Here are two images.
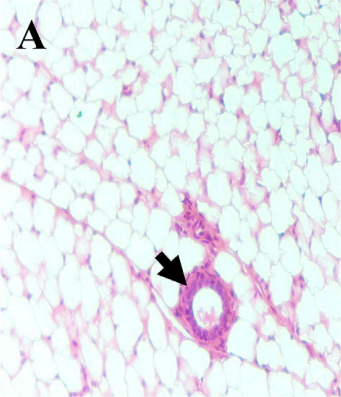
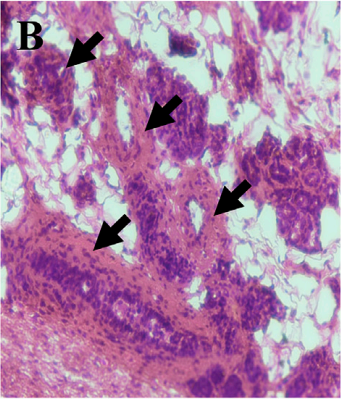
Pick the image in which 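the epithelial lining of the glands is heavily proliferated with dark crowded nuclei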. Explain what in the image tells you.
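Second image: numerous dense purple epithelial masses and thick multilayered ducts fill much of the field. First image: a single small duct with a thin lining sits among mostly fat cells. That points to this answer: the second image.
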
